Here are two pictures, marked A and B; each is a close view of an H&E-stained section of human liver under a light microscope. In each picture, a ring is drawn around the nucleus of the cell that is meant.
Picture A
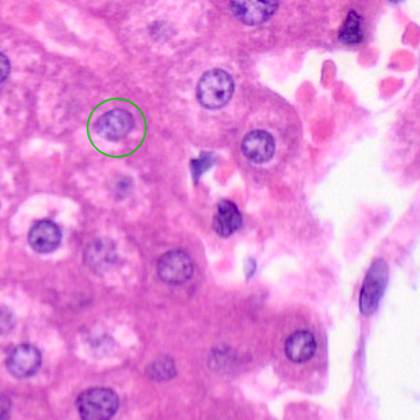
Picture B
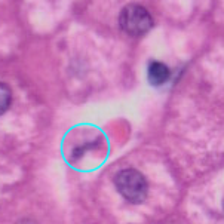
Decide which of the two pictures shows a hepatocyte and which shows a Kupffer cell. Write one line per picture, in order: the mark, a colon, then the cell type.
A: hepatocyte
B: Kupffer cell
